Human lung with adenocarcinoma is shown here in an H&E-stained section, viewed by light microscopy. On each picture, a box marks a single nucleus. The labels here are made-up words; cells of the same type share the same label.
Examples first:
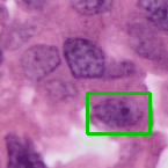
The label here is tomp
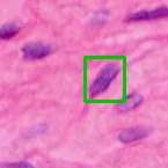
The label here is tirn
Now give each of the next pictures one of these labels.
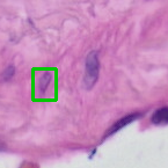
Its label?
tirn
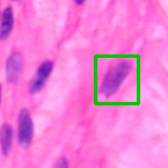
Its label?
tirn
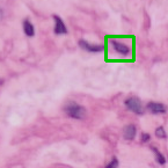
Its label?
tirn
